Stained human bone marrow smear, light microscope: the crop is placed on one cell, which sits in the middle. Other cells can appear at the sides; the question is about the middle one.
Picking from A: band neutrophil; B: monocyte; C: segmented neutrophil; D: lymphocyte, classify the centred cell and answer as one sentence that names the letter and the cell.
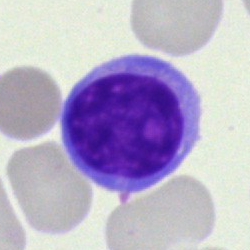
With the cell in the middle being a lymphocyte, option D is the correct choice.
